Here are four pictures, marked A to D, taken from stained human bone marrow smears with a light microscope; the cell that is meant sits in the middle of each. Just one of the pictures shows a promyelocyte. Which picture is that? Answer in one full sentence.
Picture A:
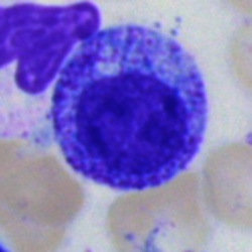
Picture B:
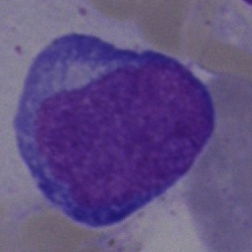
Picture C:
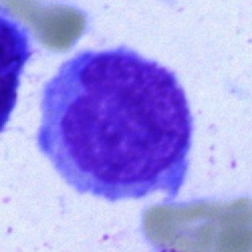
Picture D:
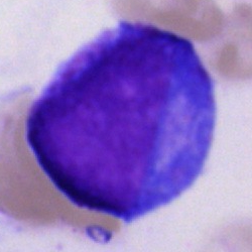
The picture with the promyelocyte is A.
